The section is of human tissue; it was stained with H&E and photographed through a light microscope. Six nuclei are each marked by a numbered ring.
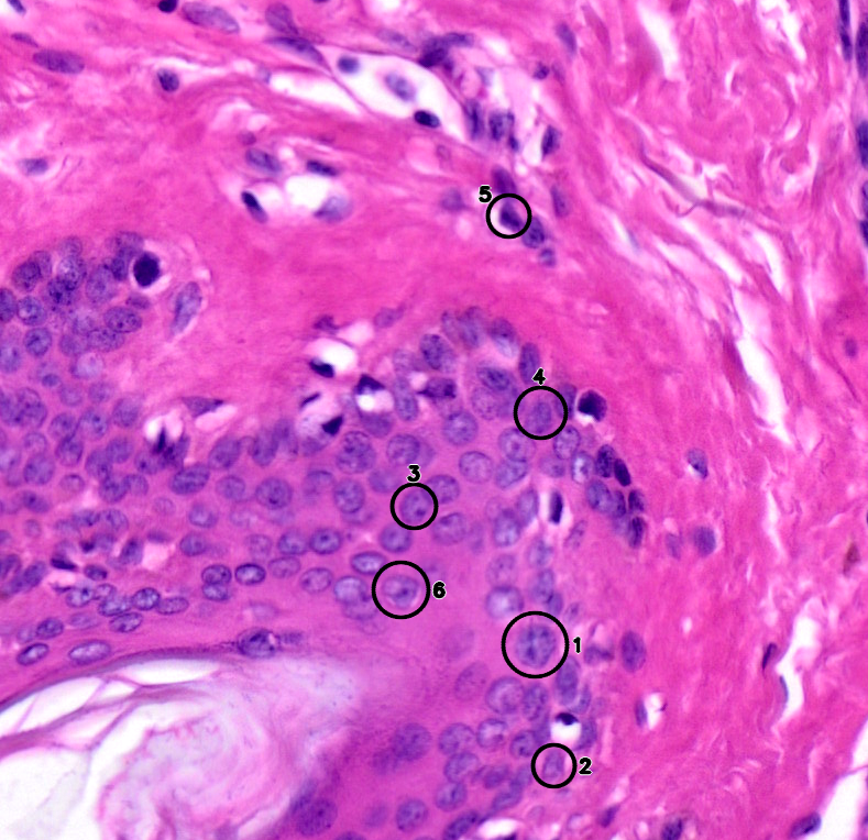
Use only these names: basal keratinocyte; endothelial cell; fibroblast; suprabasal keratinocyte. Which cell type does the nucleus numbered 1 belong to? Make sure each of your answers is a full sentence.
The nucleus labeled 1 belongs to a basal keratinocyte.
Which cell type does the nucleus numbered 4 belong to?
The cell with the number 4 is a basal keratinocyte.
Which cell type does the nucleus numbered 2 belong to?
Recognised here as a basal keratinocyte is the cell numbered 2.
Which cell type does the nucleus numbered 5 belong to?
In this section, the cell tagged 5 is an endothelial cell.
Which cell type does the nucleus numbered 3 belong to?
The cell that bears the number 3 is a suprabasal keratinocyte.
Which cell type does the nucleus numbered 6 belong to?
The nucleus with number 6 is that of a suprabasal keratinocyte.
